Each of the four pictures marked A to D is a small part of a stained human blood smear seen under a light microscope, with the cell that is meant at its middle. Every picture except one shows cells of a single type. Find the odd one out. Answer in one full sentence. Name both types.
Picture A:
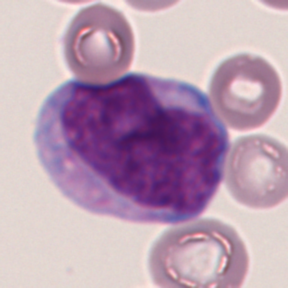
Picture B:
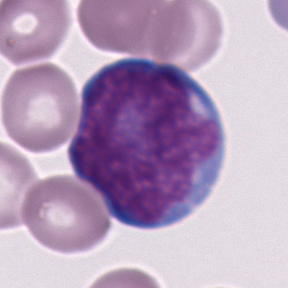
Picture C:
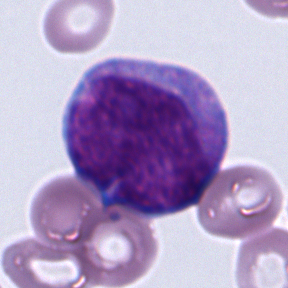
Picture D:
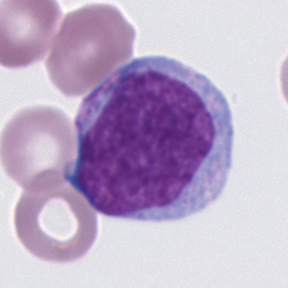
The different one is picture B; it shows a myeloblast, whereas all the others show atypical promyelocytes.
